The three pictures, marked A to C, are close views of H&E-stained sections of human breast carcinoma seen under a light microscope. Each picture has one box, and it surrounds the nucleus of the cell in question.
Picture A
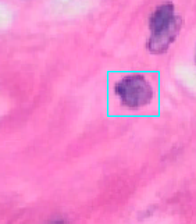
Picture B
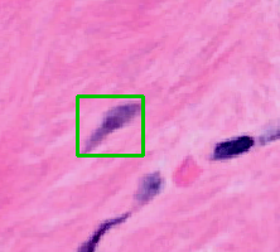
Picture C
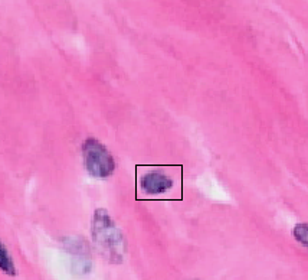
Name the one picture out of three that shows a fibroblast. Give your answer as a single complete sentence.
The fibroblast is the one in picture B.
